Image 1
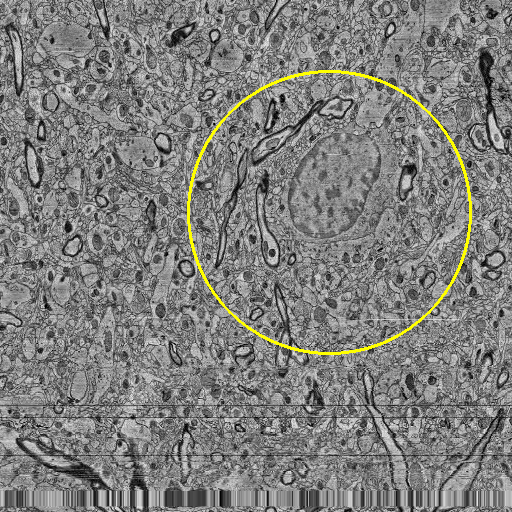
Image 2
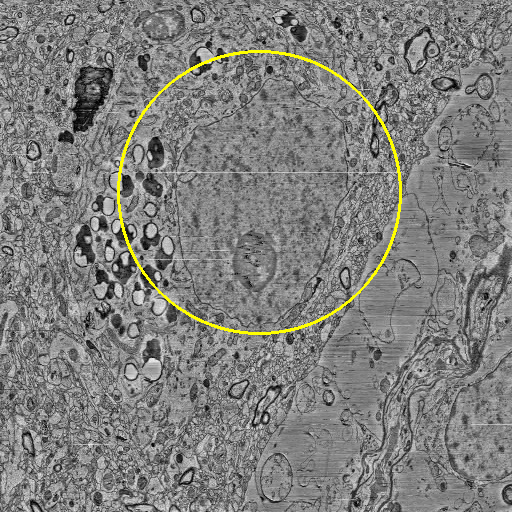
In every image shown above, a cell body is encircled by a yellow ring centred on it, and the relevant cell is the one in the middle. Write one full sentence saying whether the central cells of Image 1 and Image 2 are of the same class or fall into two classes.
The cell at the ring's centre in Image 1 and its counterpart in Image 2 fall into two classes.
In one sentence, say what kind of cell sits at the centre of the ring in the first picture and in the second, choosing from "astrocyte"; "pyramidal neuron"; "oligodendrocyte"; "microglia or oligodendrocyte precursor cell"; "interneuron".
The first picture's ringed cell is an oligodendrocyte, while the second picture's is a pyramidal neuron.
